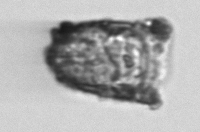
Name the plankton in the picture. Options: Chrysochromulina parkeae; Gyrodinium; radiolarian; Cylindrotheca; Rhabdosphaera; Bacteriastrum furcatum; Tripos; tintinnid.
tintinnid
